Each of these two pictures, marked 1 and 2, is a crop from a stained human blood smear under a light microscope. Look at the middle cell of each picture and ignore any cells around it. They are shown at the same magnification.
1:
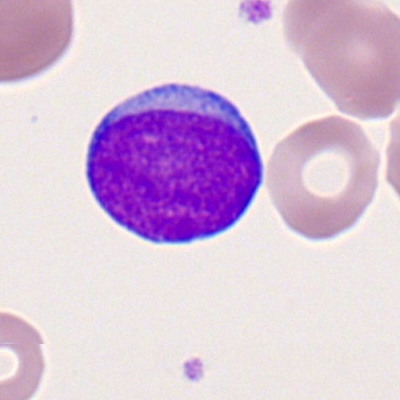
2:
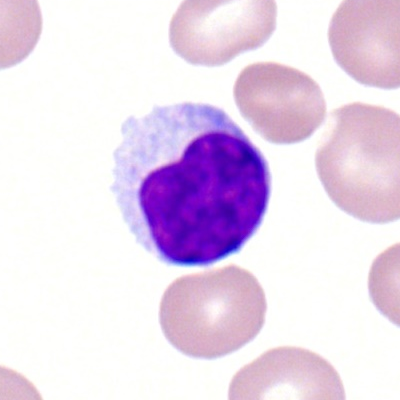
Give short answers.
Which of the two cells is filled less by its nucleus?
2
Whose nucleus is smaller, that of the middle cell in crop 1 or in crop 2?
2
